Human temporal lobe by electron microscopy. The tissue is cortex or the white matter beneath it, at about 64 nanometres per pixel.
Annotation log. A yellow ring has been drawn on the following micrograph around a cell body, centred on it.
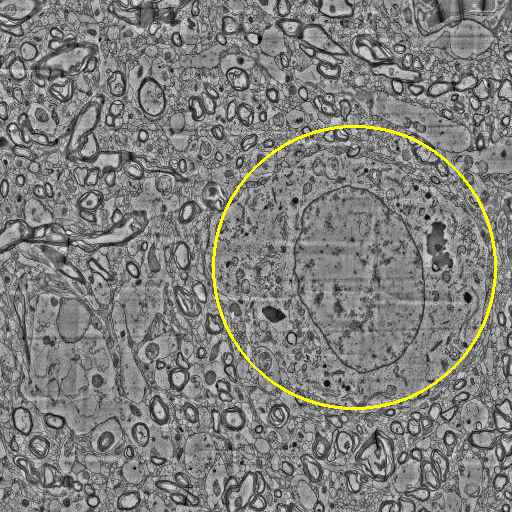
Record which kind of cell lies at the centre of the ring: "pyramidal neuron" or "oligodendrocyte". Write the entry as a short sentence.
The cell the ring is centred on is a pyramidal neuron.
